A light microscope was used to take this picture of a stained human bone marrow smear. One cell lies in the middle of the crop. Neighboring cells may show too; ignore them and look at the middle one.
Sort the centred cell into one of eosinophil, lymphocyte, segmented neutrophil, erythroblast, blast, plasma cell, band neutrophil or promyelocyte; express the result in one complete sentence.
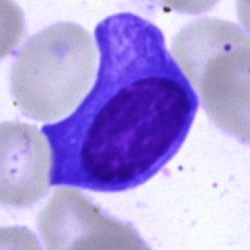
The cell at the central position in this crop is a plasma cell.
